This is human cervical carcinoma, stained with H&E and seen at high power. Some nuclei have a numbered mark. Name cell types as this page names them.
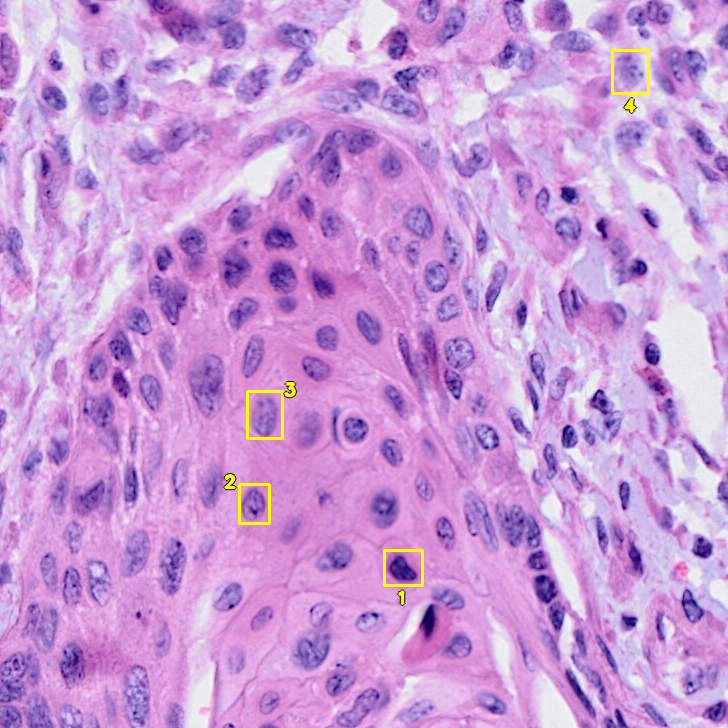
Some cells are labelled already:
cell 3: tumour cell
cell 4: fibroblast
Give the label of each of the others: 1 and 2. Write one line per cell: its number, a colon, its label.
1: tumour cell
2: tumour cell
